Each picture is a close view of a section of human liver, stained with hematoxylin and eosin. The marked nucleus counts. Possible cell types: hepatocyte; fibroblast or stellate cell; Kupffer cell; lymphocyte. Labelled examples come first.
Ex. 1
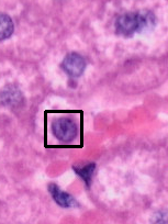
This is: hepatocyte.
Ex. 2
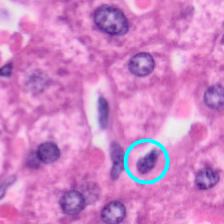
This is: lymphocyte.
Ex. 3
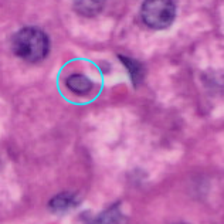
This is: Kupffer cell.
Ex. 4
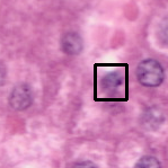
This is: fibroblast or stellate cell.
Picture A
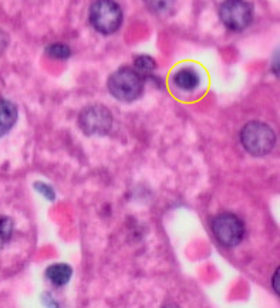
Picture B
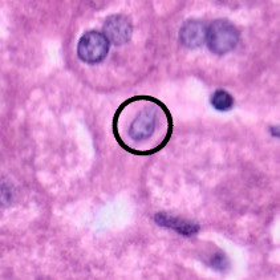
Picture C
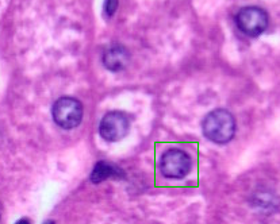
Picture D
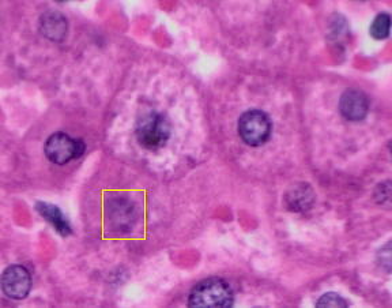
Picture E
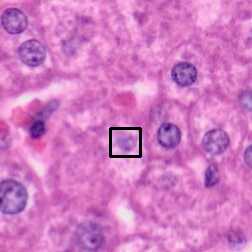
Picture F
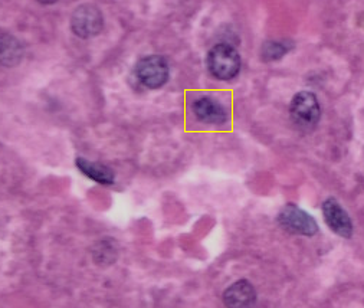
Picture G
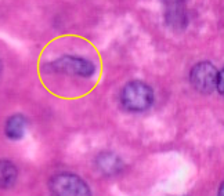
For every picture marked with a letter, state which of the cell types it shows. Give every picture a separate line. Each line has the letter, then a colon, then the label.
A: lymphocyte.
B: Kupffer cell.
C: hepatocyte.
D: hepatocyte.
E: hepatocyte.
F: fibroblast or stellate cell.
G: Kupffer cell.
